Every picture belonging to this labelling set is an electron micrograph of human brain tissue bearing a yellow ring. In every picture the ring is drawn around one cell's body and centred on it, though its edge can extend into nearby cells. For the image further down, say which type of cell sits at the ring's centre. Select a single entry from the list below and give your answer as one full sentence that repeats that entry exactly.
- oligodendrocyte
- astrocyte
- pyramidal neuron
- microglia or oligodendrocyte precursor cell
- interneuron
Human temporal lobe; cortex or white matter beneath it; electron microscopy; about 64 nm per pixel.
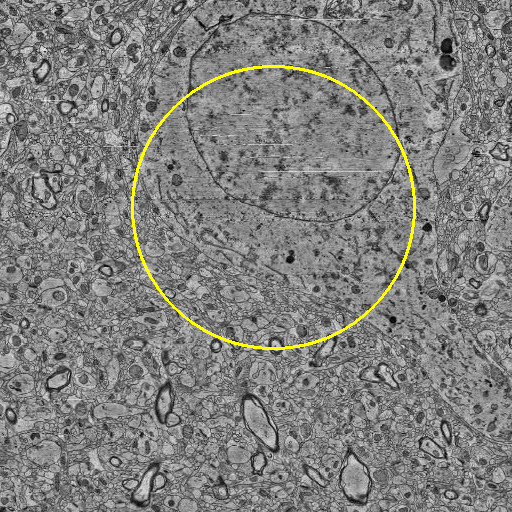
In the picture, a pyramidal neuron is the cell at the centre of the yellow ring.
